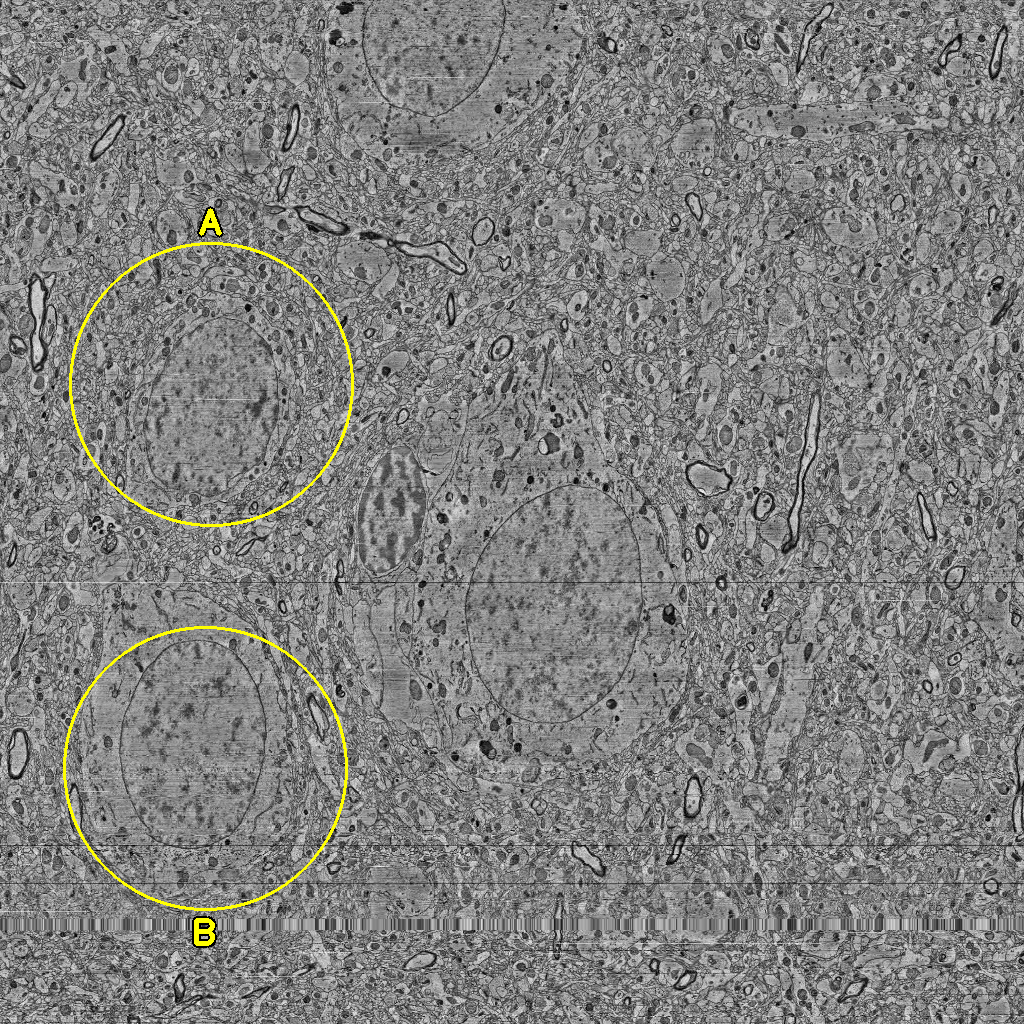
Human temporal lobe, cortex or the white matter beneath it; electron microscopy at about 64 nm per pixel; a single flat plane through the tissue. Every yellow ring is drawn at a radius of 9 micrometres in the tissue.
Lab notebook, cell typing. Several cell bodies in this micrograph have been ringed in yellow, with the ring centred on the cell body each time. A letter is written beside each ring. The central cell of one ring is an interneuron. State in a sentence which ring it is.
It is ring A.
